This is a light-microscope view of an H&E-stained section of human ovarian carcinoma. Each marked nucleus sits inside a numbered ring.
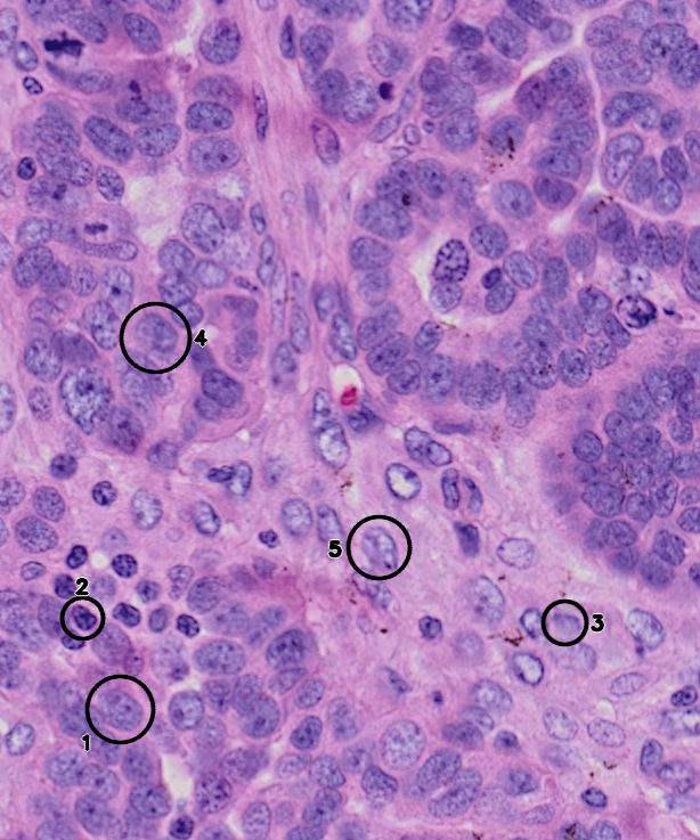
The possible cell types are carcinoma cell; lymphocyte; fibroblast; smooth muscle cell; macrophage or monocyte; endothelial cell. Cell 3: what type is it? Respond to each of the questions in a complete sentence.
In the tissue shown, cell 3 is a fibroblast.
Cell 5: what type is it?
Marked with the number 5, this cell is a fibroblast.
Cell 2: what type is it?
The cell that goes by number 2 is a lymphocyte.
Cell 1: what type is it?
In the marked set, the cell given number 1 is a carcinoma cell.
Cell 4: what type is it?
Here, the cell given the number 4 is a carcinoma cell.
